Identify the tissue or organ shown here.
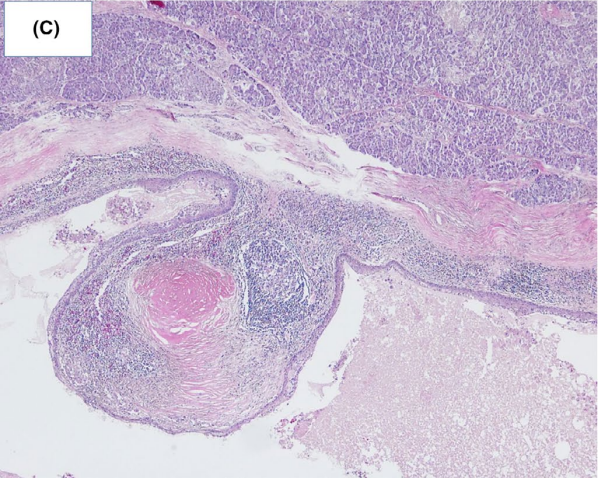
Pancreatic tissue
